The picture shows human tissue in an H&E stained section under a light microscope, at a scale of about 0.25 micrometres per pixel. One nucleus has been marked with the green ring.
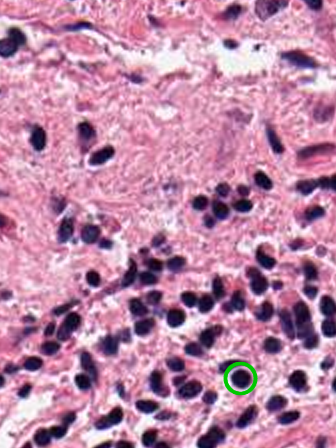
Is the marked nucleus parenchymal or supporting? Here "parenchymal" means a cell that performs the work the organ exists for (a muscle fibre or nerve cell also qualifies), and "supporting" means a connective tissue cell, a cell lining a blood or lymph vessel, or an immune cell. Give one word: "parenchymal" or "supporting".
supporting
